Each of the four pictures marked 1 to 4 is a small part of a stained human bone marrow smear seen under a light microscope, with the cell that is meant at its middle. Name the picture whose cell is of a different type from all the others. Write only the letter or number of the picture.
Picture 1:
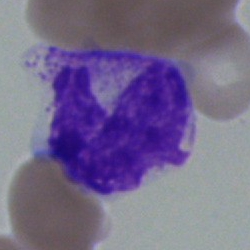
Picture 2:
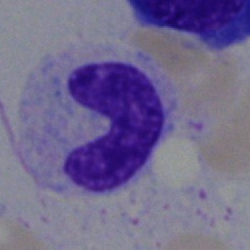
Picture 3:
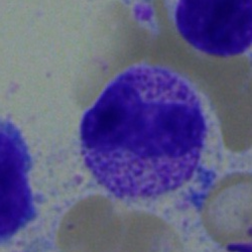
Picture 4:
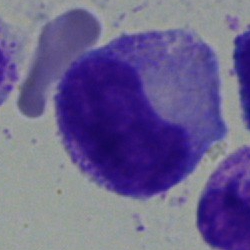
2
